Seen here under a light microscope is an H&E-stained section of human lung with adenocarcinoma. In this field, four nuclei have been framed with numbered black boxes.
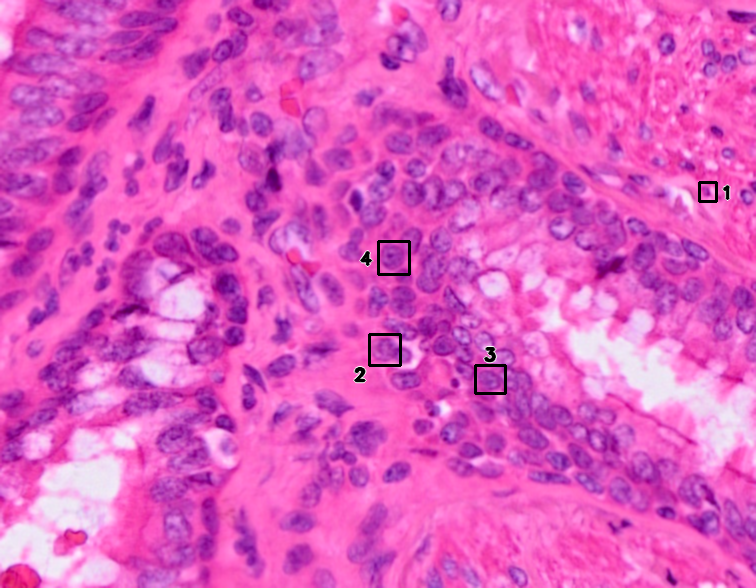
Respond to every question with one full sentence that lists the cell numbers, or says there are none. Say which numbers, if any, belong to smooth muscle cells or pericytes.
Of the numbered nuclei, only the one labelled 1 belongs to a smooth muscle cell or pericyte.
